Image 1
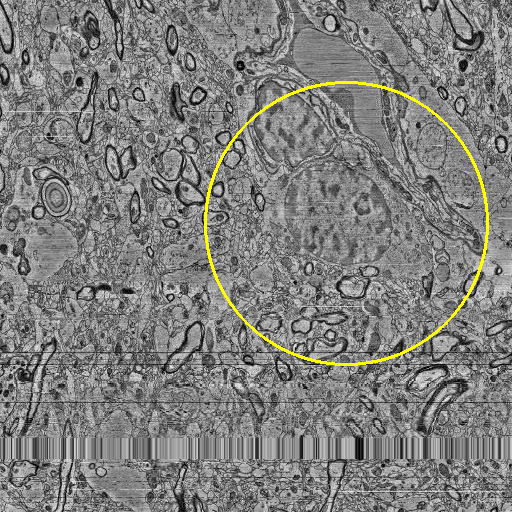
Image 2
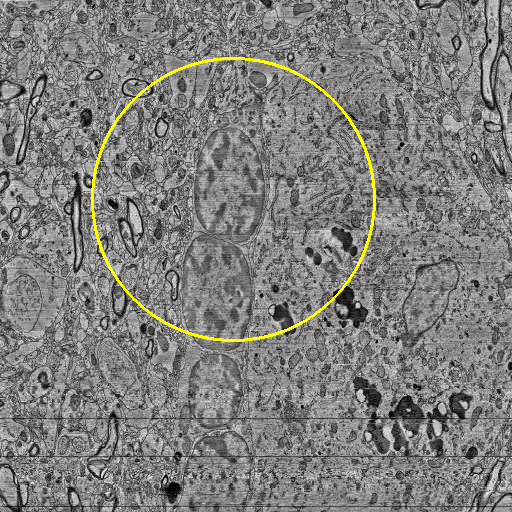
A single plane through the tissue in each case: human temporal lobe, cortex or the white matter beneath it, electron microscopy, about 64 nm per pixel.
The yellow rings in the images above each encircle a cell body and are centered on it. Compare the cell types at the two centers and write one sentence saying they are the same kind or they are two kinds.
Taken together, the two cells at the ring centers are the same kind.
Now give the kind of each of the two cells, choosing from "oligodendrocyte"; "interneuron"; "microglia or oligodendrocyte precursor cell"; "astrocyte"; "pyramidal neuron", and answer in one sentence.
Each of the two cells is an oligodendrocyte.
